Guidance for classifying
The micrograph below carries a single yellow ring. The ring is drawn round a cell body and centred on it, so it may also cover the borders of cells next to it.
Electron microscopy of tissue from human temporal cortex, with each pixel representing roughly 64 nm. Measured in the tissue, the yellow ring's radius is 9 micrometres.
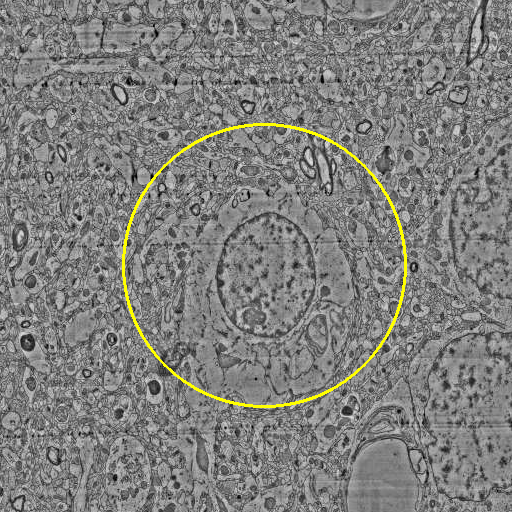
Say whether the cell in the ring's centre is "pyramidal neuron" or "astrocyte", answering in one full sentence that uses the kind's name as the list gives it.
Within the yellow ring, an astrocyte is the cell whose body sits at the centre.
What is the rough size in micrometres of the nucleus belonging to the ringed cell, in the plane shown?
The nucleus measures about 8 by 6 micrometres in this plane.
